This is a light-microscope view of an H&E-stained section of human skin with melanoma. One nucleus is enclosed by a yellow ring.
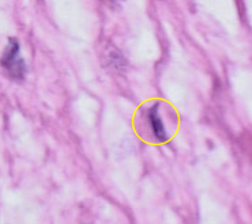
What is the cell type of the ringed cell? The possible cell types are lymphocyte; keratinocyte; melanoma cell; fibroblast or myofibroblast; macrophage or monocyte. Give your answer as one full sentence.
Labelled by cell type, the ringed cell is a fibroblast or myofibroblast.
